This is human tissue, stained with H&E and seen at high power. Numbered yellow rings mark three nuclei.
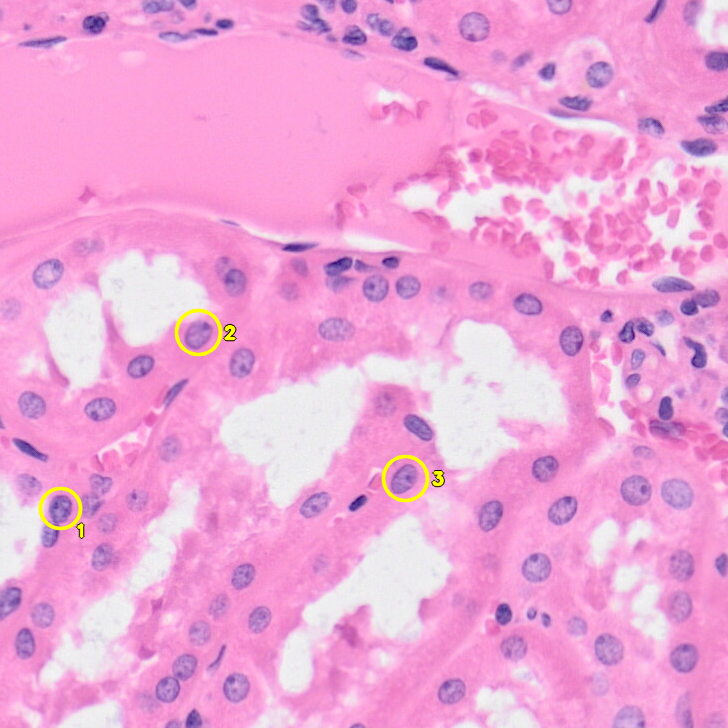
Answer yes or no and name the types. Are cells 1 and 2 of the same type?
No, cell 1 is a loop of Henle or distal tubule cell and cell 2 is a proximal tubule cell.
